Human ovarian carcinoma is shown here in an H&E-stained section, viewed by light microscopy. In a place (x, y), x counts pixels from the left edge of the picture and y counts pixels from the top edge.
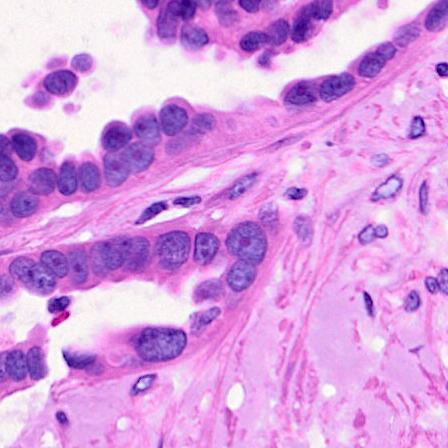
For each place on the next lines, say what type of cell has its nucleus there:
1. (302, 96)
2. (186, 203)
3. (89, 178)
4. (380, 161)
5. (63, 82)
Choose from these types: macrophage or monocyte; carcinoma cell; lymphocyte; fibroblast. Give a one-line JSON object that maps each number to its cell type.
{"1": "carcinoma cell", "2": "fibroblast", "3": "carcinoma cell", "4": "fibroblast", "5": "carcinoma cell"}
